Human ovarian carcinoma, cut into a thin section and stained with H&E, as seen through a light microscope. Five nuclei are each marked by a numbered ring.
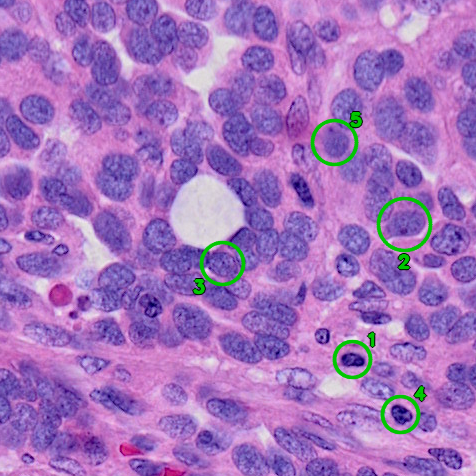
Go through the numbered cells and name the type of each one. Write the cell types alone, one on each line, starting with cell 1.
lymphocyte
carcinoma cell
carcinoma cell
lymphocyte
carcinoma cell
